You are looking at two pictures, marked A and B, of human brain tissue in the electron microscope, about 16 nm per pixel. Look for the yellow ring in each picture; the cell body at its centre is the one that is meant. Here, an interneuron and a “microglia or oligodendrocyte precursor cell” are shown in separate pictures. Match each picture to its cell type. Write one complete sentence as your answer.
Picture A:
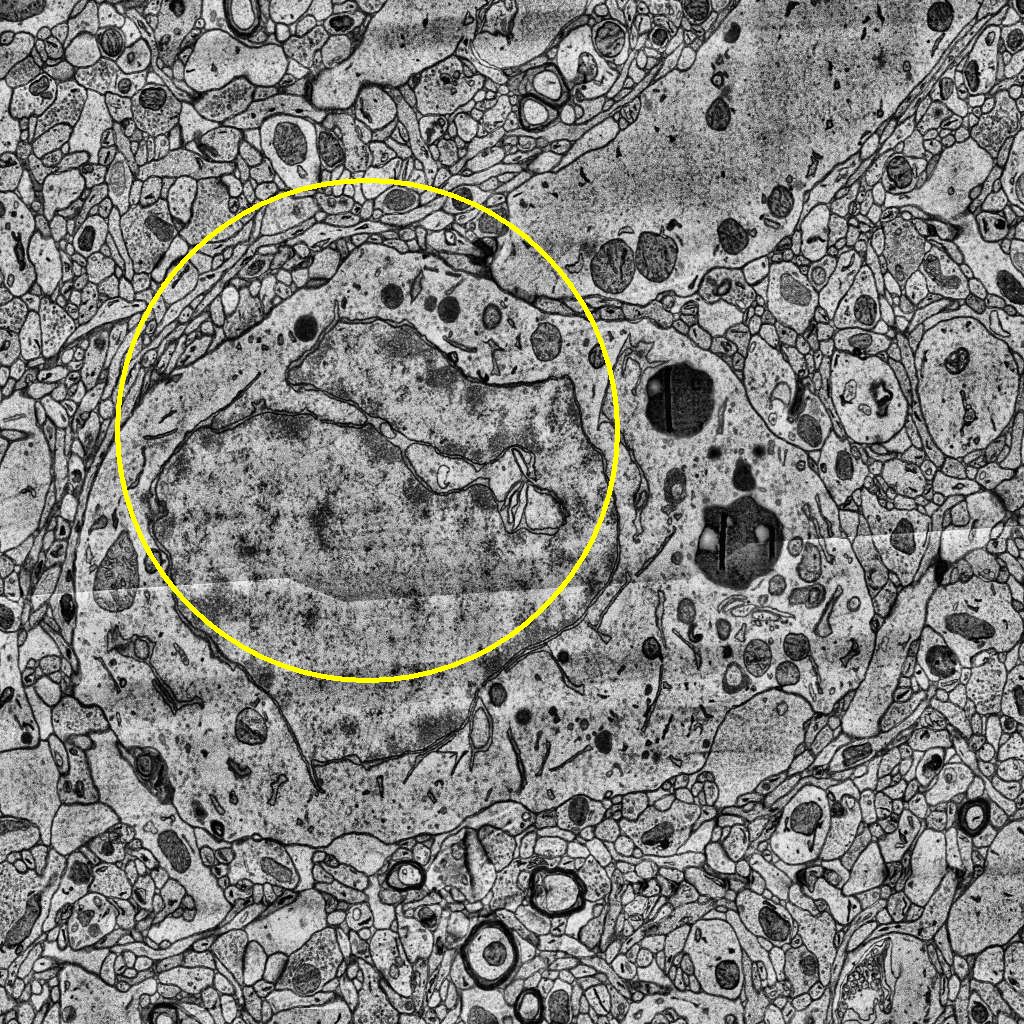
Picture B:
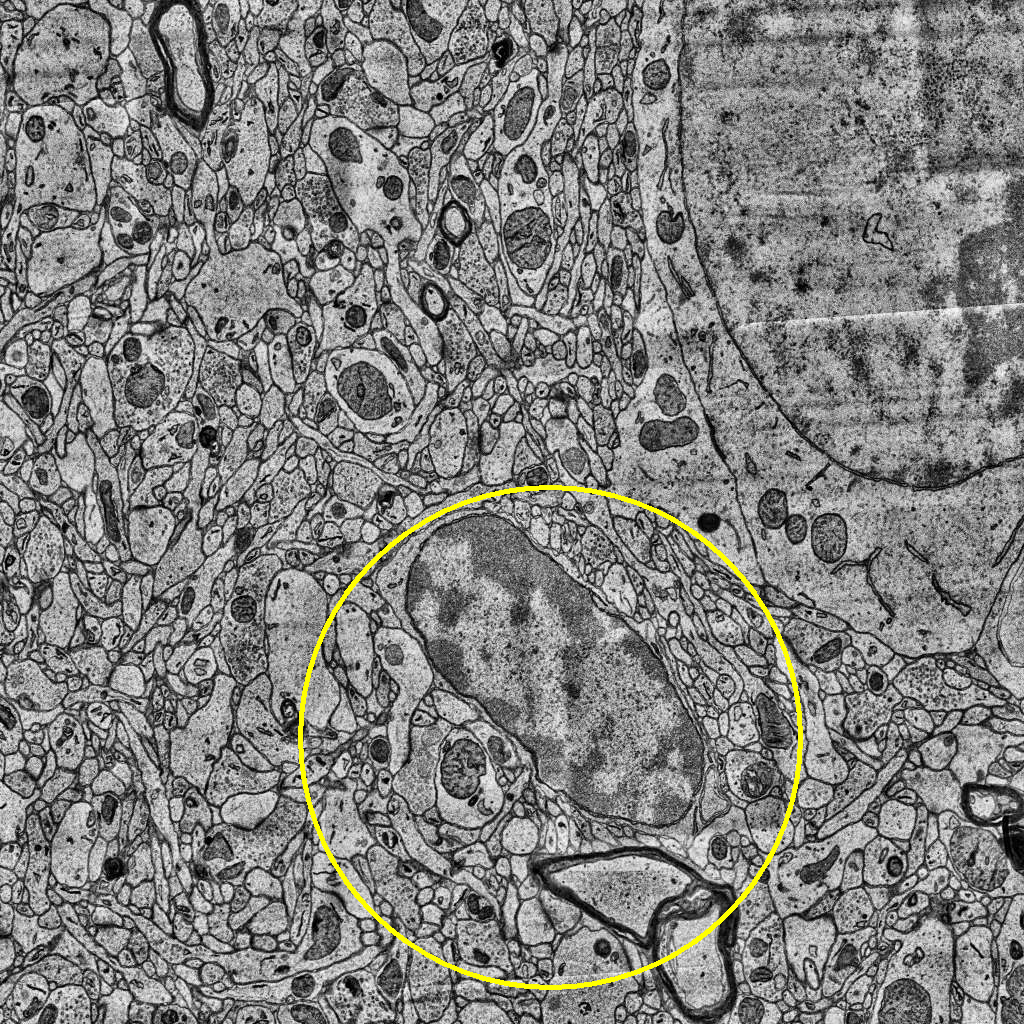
Picture A shows an interneuron and picture B shows a “microglia or oligodendrocyte precursor cell”.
